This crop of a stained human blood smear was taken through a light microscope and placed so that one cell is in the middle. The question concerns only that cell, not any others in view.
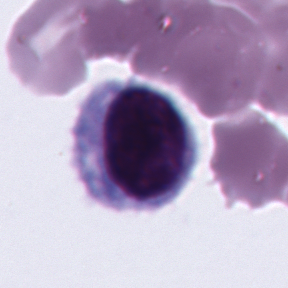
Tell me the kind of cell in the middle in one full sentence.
The identification for the central cell is a hairy cell.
